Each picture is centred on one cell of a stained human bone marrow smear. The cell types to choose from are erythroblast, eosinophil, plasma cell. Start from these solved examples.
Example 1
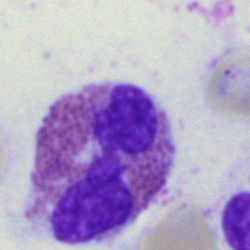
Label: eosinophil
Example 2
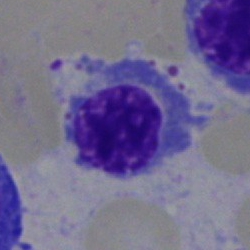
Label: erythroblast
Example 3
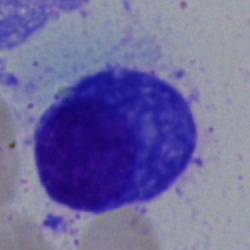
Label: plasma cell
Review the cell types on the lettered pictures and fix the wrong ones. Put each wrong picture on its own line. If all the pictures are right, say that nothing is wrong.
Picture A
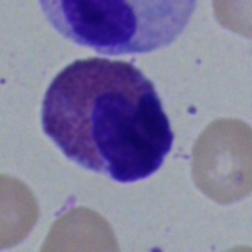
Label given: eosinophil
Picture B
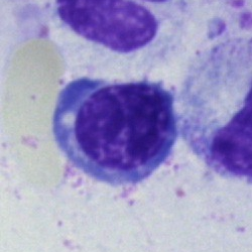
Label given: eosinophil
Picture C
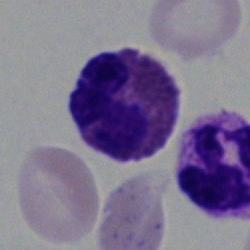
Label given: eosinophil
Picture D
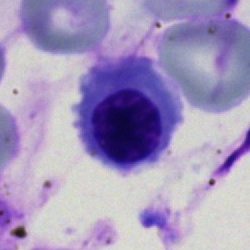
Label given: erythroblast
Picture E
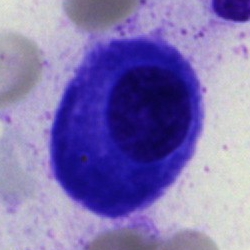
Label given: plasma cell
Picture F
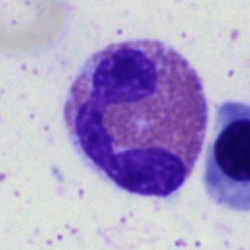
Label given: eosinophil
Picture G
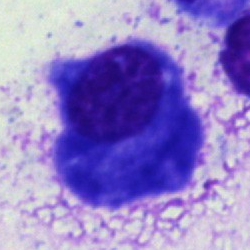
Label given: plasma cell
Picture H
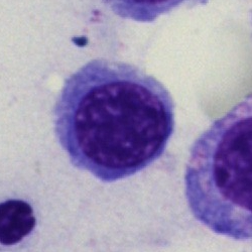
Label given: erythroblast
B: not eosinophil but erythroblast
